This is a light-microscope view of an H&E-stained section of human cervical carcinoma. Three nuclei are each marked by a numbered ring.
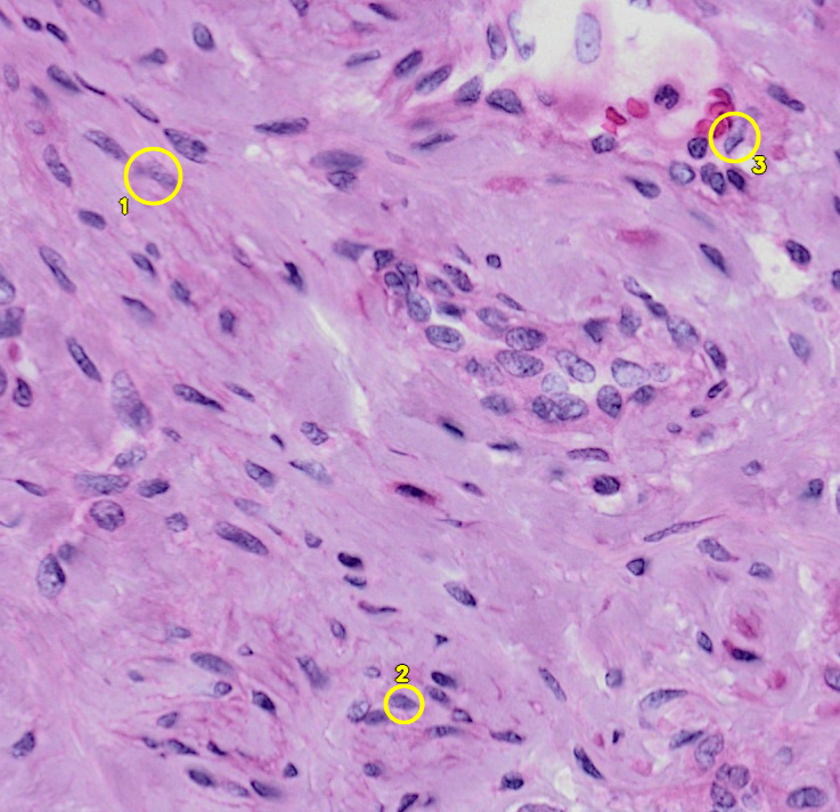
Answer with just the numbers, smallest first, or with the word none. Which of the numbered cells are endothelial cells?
3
